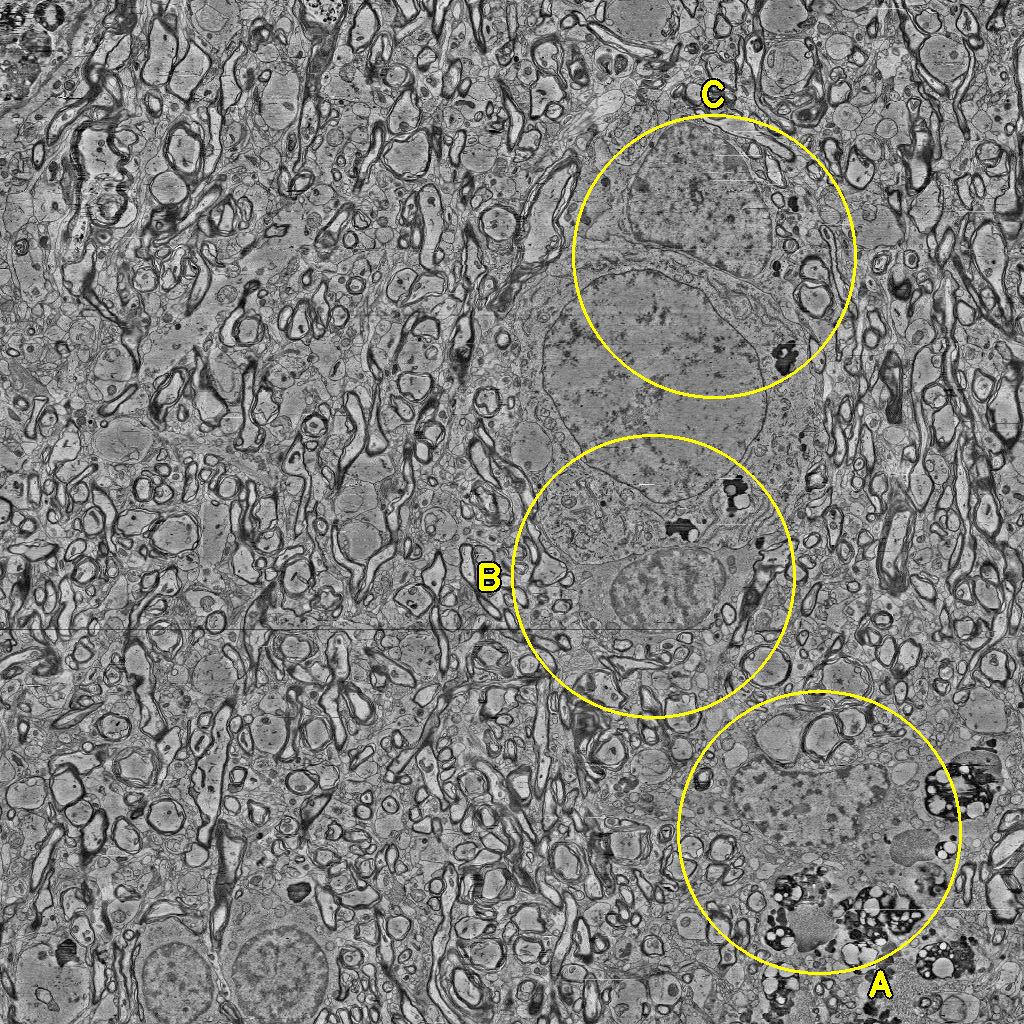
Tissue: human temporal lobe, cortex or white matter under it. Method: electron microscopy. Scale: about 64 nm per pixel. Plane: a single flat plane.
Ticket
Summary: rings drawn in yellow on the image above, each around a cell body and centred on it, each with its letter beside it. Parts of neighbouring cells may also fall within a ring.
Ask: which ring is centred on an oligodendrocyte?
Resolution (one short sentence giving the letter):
The ring marked B is centred on it.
